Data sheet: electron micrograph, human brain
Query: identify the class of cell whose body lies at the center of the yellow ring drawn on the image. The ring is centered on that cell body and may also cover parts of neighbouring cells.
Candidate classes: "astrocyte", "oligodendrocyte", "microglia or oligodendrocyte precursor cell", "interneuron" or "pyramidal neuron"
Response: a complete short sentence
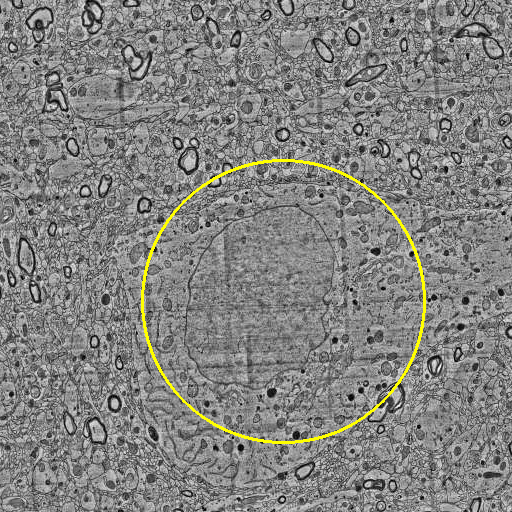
At the center of the ring lies a pyramidal neuron.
